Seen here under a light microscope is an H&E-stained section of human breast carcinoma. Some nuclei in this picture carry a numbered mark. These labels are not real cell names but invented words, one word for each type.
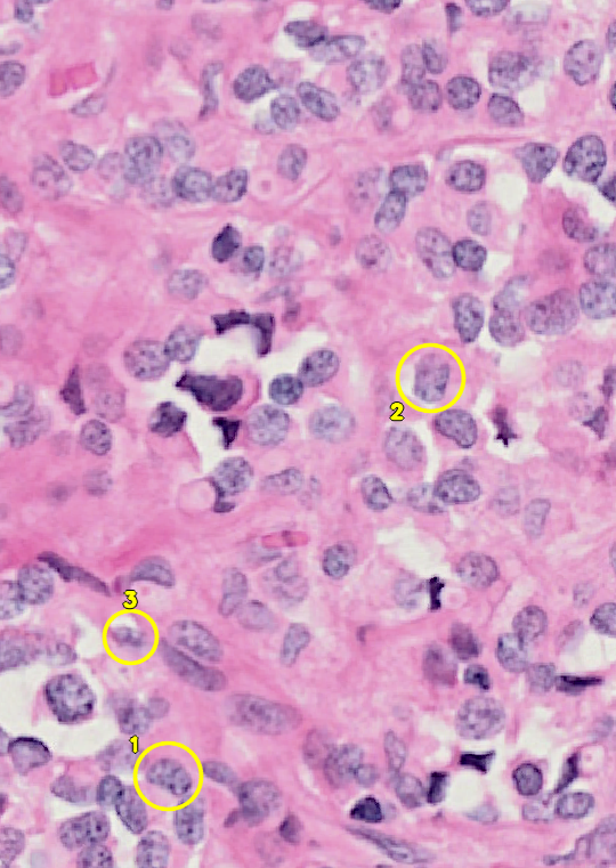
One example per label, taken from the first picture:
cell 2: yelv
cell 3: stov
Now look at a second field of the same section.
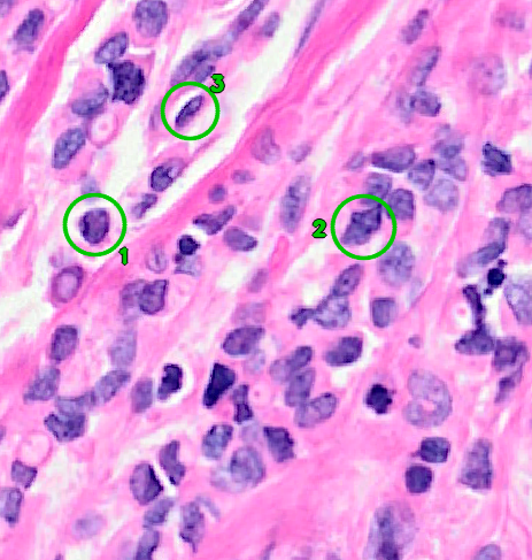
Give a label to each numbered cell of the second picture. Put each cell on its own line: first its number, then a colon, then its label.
1: yelv
2: yelv
3: stov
